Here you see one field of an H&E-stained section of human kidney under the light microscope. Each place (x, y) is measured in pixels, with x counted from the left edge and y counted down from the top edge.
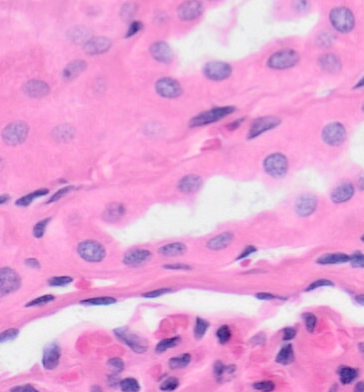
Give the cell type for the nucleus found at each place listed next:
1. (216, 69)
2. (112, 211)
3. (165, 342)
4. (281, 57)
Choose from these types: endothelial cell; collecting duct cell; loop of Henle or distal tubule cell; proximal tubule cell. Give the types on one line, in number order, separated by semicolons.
loop of Henle or distal tubule cell; loop of Henle or distal tubule cell; endothelial cell; loop of Henle or distal tubule cell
